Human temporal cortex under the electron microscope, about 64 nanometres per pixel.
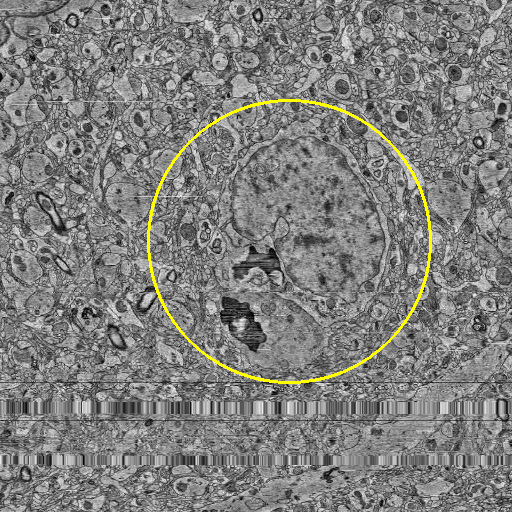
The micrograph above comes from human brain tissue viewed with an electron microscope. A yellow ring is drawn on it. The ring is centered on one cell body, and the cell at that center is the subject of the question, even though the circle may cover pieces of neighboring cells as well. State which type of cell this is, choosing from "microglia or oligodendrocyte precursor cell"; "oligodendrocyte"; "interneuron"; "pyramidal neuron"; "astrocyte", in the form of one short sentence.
The cell the ring is centered on is an interneuron.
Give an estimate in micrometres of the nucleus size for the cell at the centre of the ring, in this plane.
The nucleus works out at approximately 12 by 9 micrometres in this plane.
